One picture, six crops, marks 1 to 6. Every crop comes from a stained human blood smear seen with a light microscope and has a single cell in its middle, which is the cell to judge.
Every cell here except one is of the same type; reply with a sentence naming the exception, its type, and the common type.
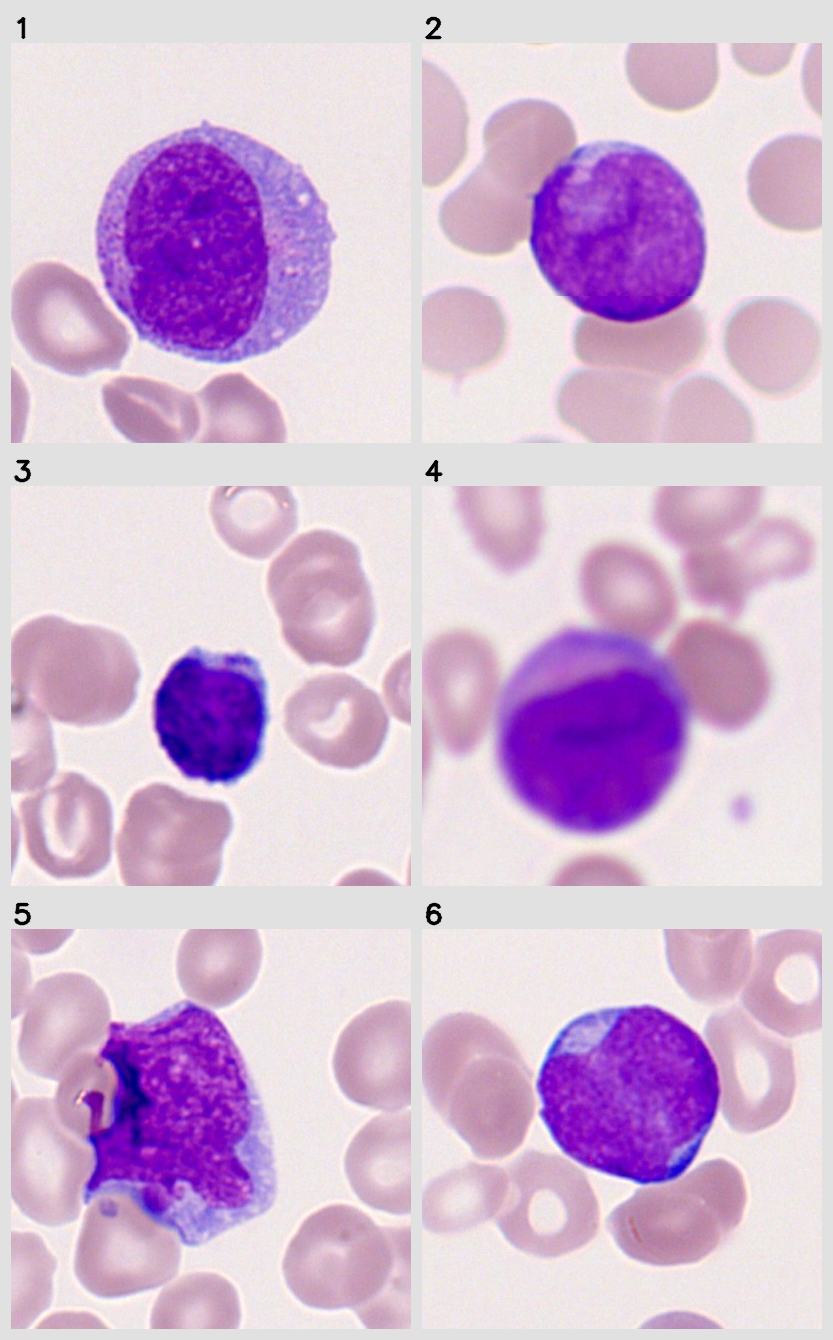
Just crop 3 is a lymphocyte; all the other crops show myeloblasts.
